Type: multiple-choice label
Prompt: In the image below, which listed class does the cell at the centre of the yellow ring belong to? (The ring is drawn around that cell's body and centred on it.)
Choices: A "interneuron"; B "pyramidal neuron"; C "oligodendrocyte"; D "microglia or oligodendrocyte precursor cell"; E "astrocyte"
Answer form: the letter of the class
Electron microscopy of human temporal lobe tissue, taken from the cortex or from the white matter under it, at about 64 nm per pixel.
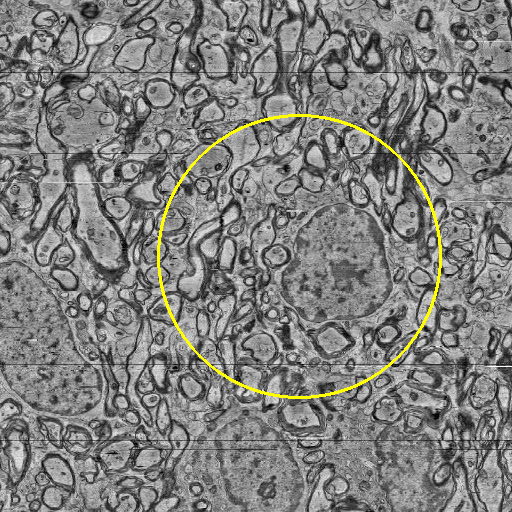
D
